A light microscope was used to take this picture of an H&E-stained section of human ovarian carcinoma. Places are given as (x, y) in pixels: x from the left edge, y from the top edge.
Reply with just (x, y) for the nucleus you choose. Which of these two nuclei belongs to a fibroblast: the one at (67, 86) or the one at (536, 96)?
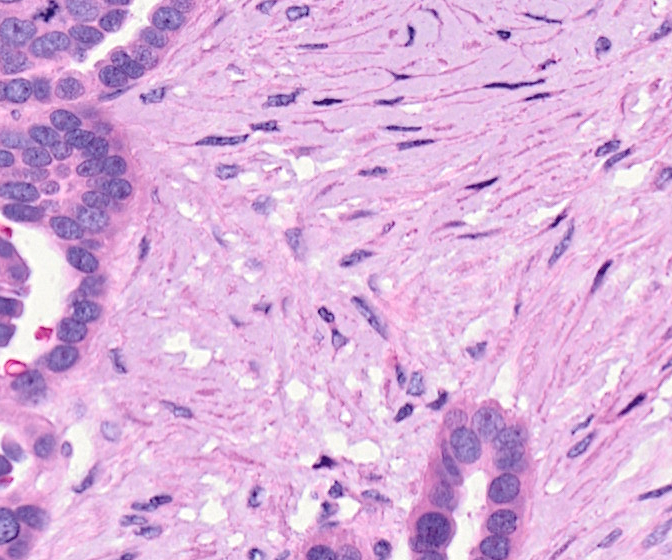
(536, 96)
